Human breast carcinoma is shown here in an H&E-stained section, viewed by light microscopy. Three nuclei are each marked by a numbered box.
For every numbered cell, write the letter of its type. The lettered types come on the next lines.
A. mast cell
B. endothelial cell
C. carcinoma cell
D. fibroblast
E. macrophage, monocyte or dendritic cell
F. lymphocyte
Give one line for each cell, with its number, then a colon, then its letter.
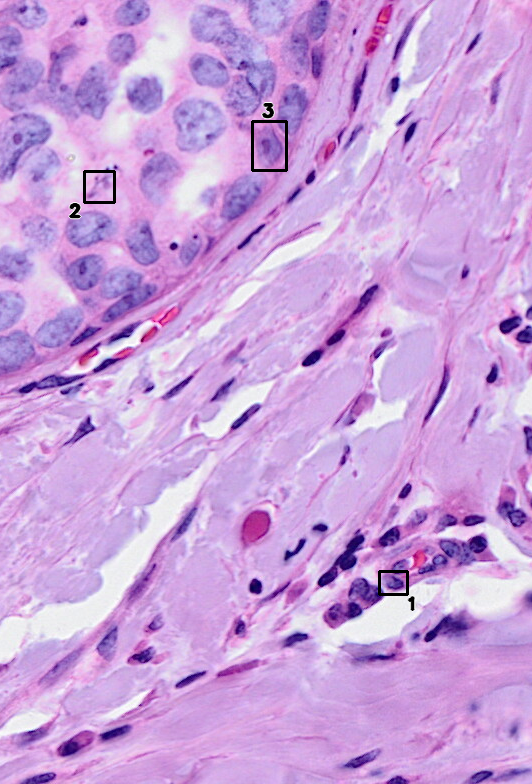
1: B
2: C
3: C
